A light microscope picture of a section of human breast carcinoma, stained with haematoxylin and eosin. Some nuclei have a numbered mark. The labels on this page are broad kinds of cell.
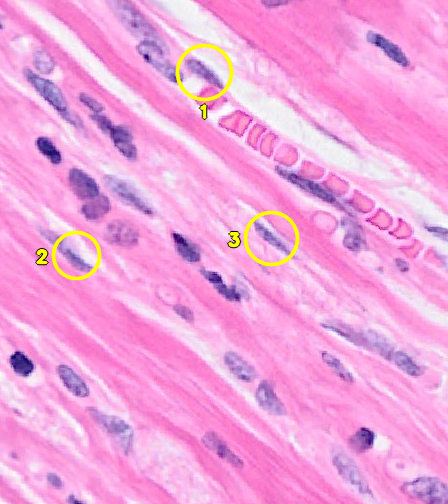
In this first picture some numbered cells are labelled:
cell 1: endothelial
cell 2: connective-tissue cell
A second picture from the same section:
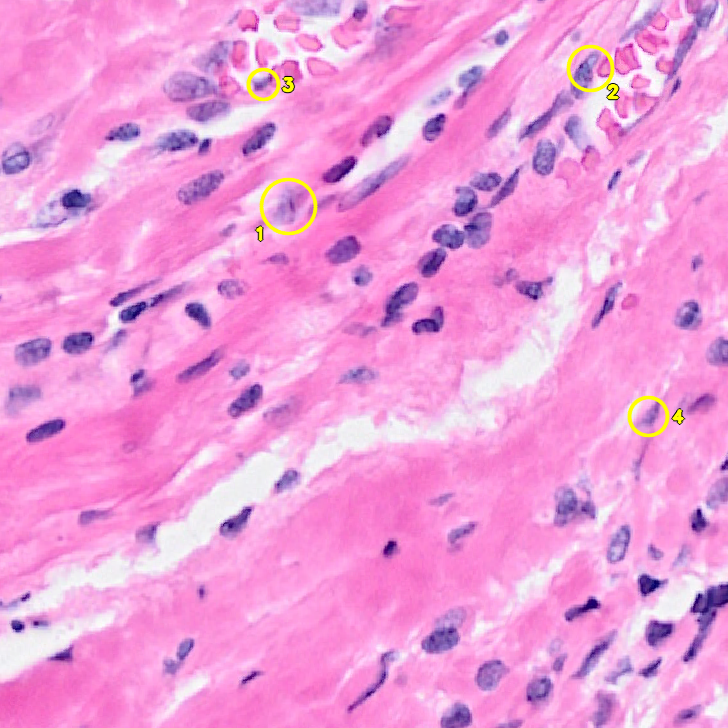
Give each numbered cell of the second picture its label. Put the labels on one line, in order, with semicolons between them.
connective-tissue cell; endothelial; endothelial; connective-tissue cell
